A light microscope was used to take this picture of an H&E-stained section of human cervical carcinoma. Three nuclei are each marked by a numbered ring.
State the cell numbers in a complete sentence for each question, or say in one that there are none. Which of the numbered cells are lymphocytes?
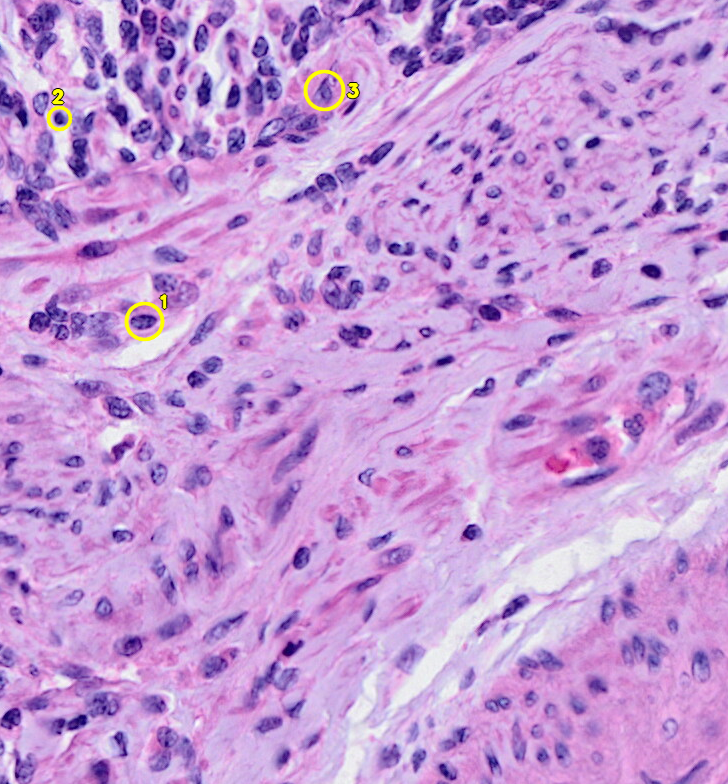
The cells with labels 1 and 2 are lymphocytes.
